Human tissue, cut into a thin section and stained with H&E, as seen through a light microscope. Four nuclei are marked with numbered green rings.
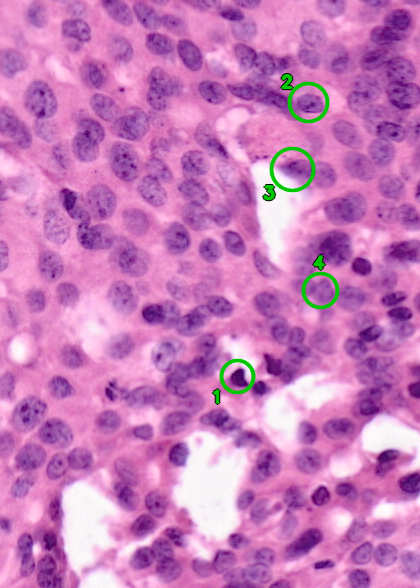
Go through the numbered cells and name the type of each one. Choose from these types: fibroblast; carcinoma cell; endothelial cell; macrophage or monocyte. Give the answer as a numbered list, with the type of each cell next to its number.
1. carcinoma cell
2. macrophage or monocyte
3. carcinoma cell
4. carcinoma cell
